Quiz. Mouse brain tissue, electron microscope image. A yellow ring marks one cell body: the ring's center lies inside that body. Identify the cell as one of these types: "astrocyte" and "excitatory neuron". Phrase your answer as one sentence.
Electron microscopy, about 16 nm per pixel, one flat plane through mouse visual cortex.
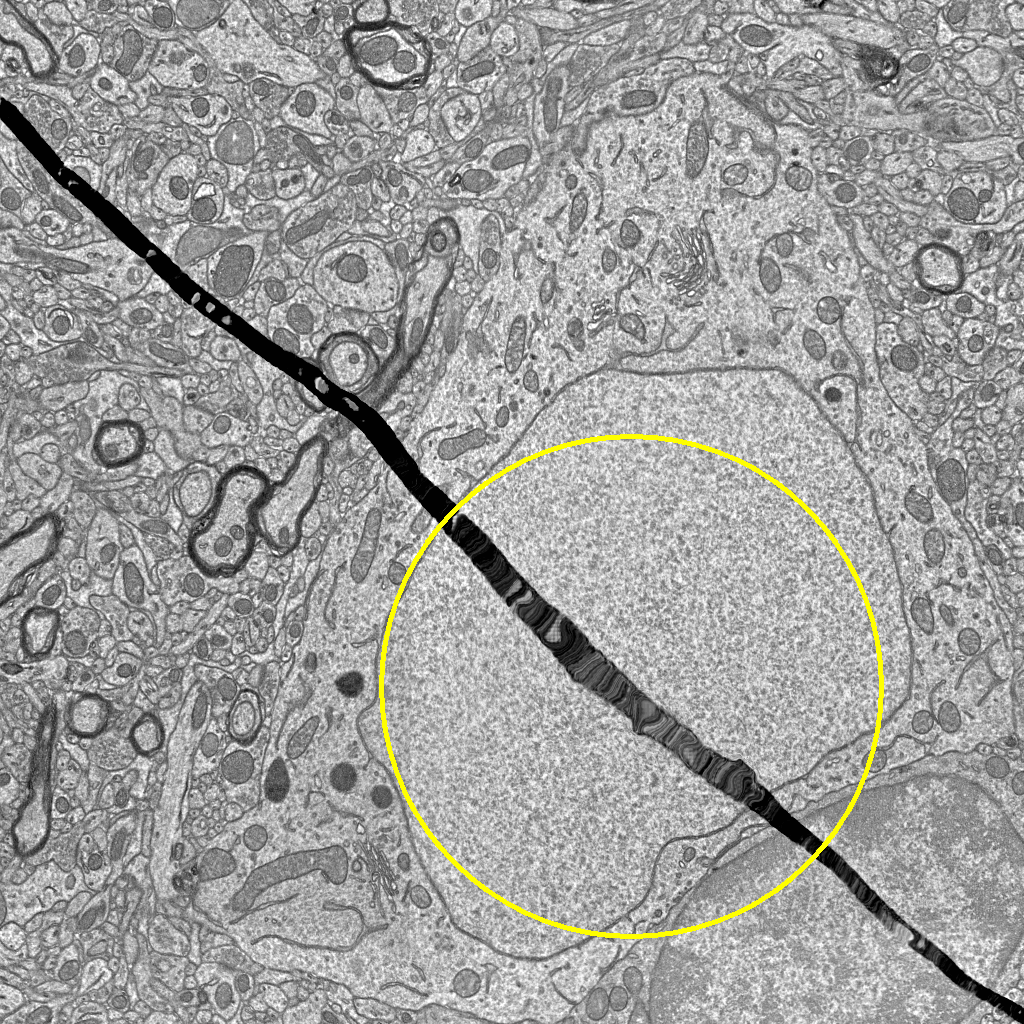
At the center of the ring sits an excitatory neuron.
